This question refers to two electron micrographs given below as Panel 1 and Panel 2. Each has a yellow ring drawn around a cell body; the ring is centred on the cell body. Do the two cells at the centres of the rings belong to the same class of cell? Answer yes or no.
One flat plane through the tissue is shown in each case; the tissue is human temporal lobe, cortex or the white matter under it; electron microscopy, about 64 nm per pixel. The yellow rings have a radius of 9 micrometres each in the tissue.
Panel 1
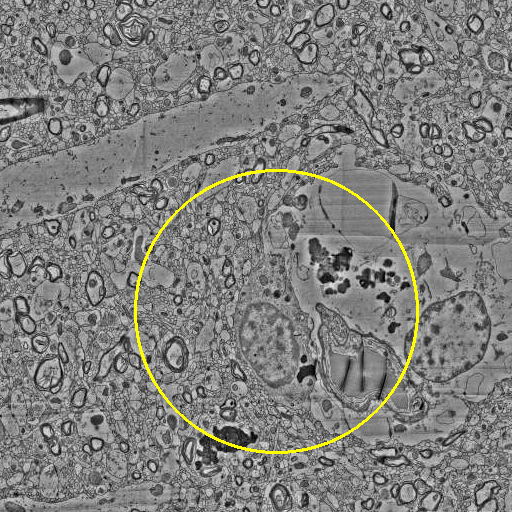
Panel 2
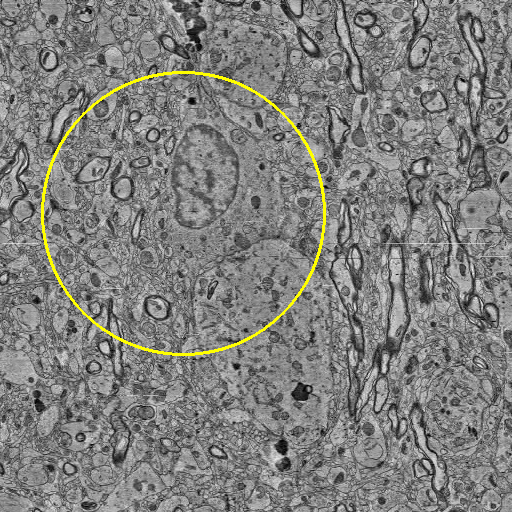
yes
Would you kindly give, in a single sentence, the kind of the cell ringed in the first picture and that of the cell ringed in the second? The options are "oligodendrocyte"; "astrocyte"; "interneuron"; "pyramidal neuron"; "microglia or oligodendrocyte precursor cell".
In each picture the ringed cell is an oligodendrocyte.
